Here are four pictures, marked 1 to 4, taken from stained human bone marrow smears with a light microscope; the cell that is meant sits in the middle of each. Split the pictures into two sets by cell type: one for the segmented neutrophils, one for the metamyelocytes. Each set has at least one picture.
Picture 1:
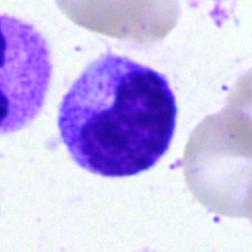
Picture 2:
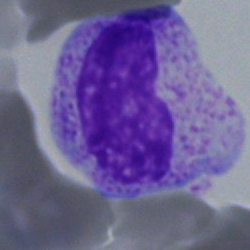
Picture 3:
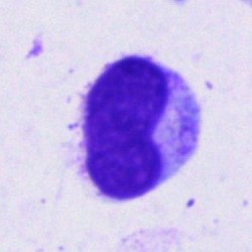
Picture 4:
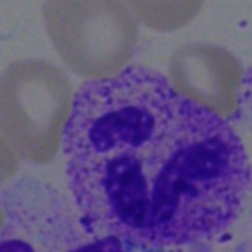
1: metamyelocyte
2: metamyelocyte
3: metamyelocyte
4: segmented neutrophil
